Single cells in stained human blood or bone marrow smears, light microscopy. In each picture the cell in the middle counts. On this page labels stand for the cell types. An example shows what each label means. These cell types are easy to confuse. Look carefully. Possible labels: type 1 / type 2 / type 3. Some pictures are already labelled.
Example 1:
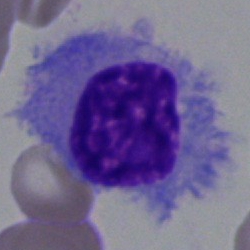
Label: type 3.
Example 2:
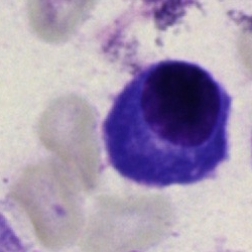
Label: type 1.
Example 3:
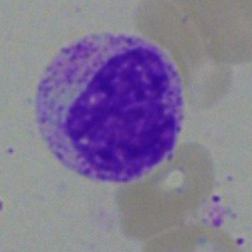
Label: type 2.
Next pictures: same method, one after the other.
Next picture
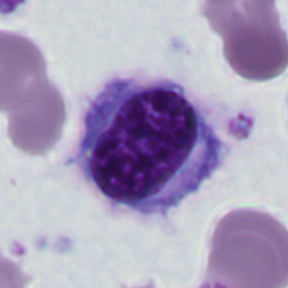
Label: type 1.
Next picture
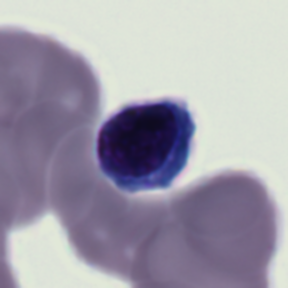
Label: type 1.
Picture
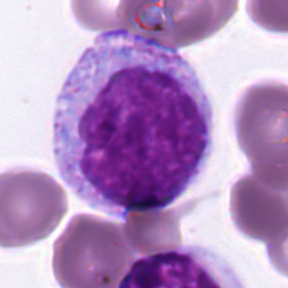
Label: type 2.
